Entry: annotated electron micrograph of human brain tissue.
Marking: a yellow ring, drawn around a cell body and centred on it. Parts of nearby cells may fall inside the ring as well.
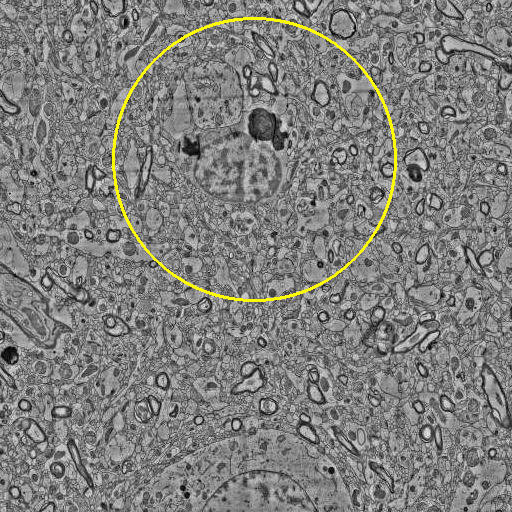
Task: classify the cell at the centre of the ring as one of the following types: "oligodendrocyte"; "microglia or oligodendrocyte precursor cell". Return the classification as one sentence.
The marked cell is classified as an oligodendrocyte.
